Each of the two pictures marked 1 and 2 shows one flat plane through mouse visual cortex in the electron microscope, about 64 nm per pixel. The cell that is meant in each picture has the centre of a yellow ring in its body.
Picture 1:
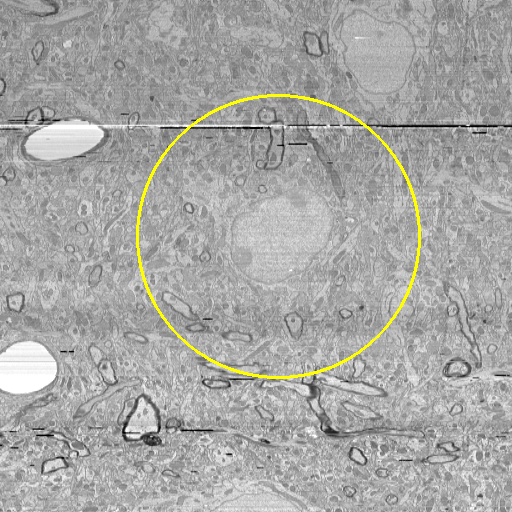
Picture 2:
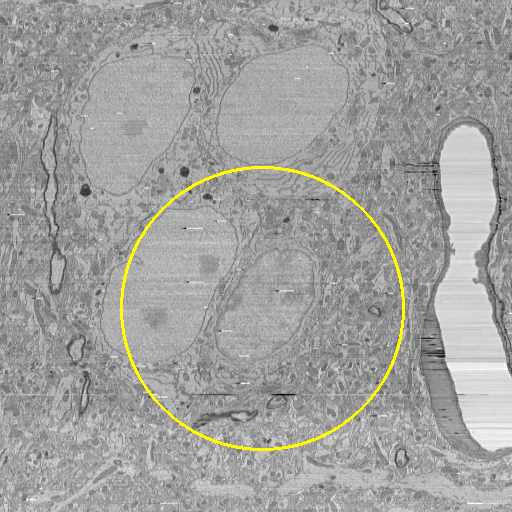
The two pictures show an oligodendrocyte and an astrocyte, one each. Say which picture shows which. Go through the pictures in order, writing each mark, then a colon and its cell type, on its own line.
1: astrocyte
2: oligodendrocyte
